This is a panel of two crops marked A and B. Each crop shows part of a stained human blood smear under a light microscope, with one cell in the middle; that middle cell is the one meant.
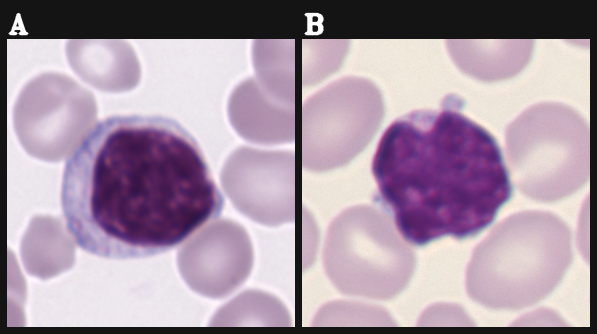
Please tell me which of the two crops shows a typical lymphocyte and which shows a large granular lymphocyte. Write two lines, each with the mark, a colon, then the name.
A: large granular lymphocyte
B: typical lymphocyte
